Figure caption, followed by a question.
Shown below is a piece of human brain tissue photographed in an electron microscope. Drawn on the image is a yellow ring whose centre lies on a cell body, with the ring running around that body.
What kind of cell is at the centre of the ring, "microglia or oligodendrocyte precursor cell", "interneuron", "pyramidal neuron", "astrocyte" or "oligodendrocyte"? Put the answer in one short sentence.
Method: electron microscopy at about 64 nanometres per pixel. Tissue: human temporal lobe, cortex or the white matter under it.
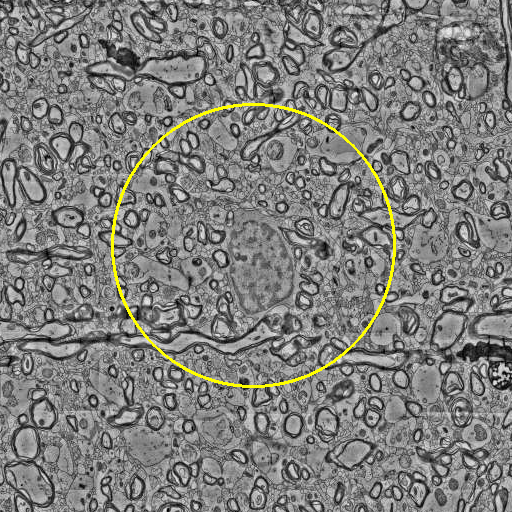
The ring marks the cell body of an oligodendrocyte.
